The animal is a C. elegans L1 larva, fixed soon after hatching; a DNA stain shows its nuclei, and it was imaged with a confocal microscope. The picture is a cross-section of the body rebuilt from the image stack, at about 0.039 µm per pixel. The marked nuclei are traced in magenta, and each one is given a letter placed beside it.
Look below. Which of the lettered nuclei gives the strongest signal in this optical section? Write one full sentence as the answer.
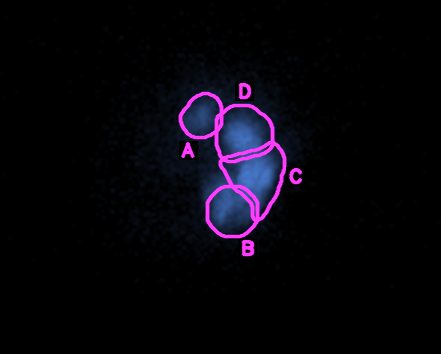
C is the most strongly stained.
